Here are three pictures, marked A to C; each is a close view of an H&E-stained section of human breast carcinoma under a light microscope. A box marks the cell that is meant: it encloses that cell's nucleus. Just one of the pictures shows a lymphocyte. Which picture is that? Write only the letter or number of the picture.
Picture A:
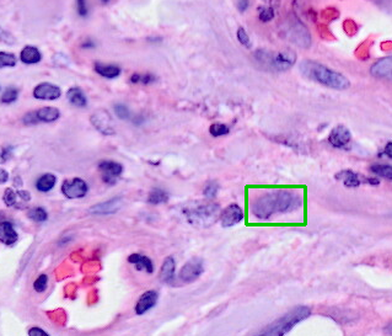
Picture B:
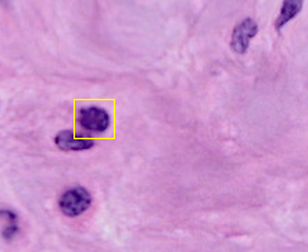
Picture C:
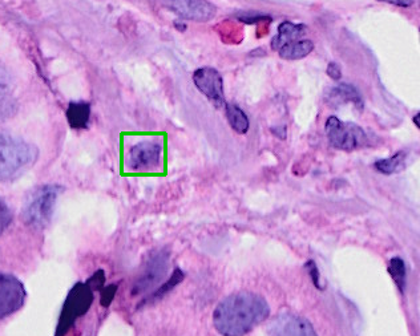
B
